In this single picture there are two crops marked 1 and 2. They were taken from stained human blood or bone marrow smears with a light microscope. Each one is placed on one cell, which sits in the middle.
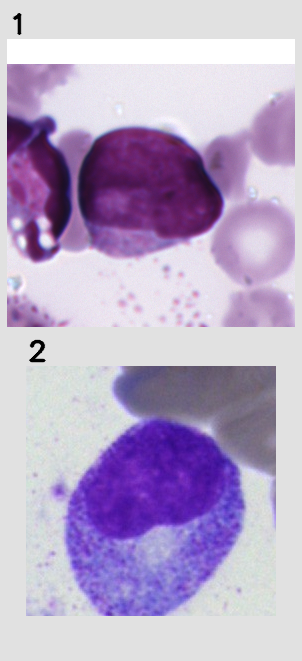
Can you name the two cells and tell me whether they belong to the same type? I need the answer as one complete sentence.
No, what crop 1 shows is a blast, and what crop 2 shows is a myelocyte.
